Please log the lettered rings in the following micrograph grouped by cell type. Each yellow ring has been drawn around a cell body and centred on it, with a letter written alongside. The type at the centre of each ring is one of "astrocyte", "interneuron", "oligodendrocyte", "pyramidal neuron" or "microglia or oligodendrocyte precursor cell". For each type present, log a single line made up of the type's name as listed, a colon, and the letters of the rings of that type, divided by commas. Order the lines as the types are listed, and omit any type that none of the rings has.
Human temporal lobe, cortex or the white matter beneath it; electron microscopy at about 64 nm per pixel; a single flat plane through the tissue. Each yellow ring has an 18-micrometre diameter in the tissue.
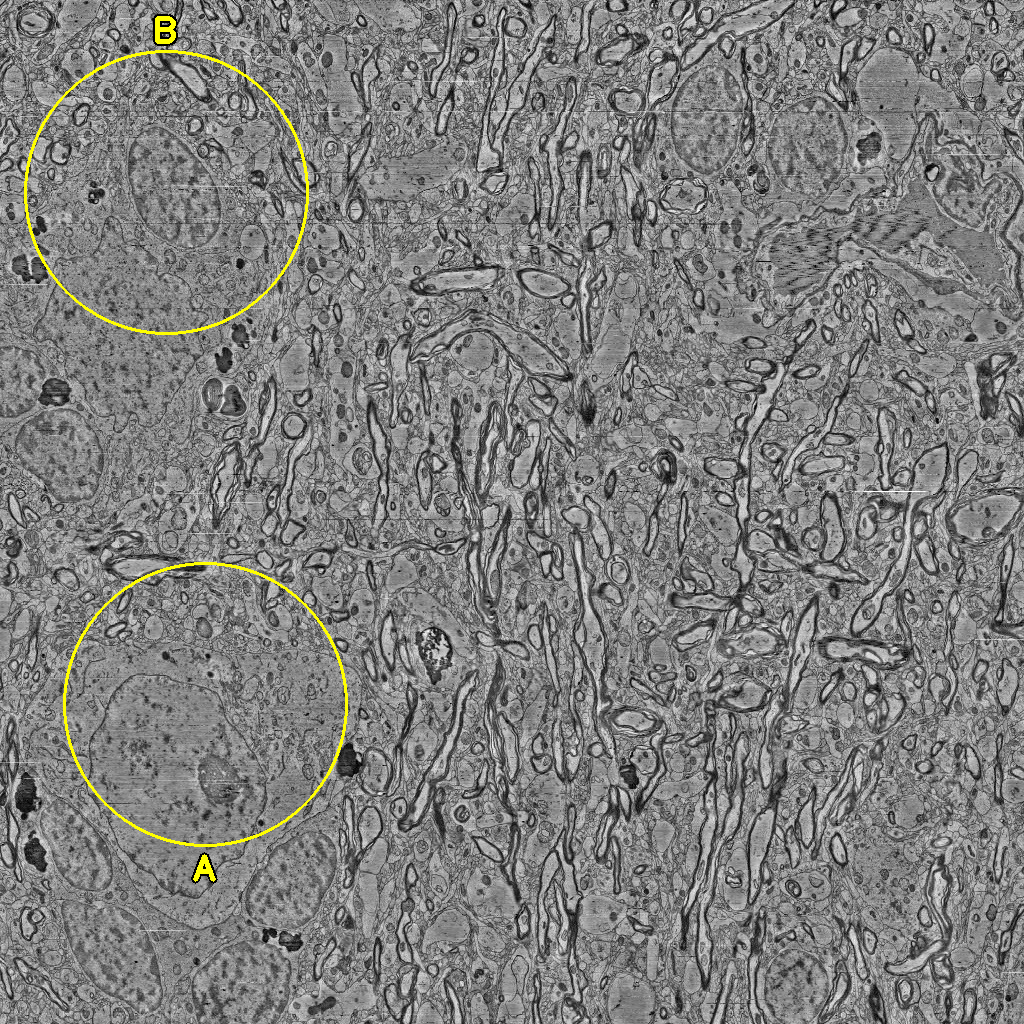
oligodendrocyte: B
pyramidal neuron: A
